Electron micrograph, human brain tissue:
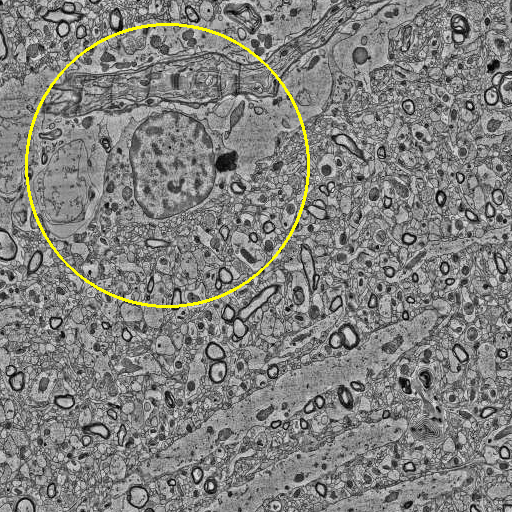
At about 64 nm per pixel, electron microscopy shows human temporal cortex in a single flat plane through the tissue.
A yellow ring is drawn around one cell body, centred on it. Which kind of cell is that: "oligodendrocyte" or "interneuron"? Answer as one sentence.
It is an oligodendrocyte at the centre of the ring.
